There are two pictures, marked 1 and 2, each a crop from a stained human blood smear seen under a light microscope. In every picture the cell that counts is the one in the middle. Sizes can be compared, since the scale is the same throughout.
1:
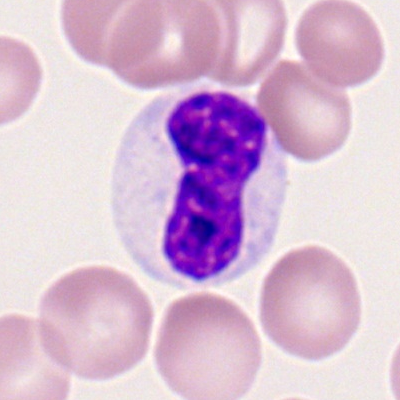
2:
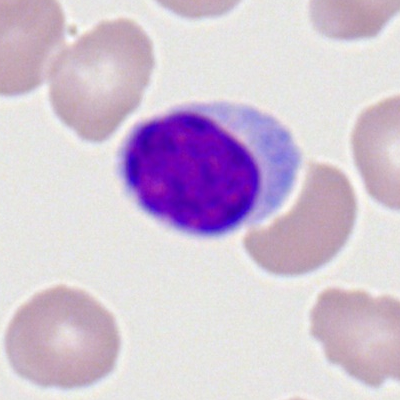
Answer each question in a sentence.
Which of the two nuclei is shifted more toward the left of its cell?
It is the nucleus in picture 2 that lies further toward the left of its cell.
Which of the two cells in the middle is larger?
Picture 1 holds the larger cell; it covers about 1.5 times the area of the cell in picture 2.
